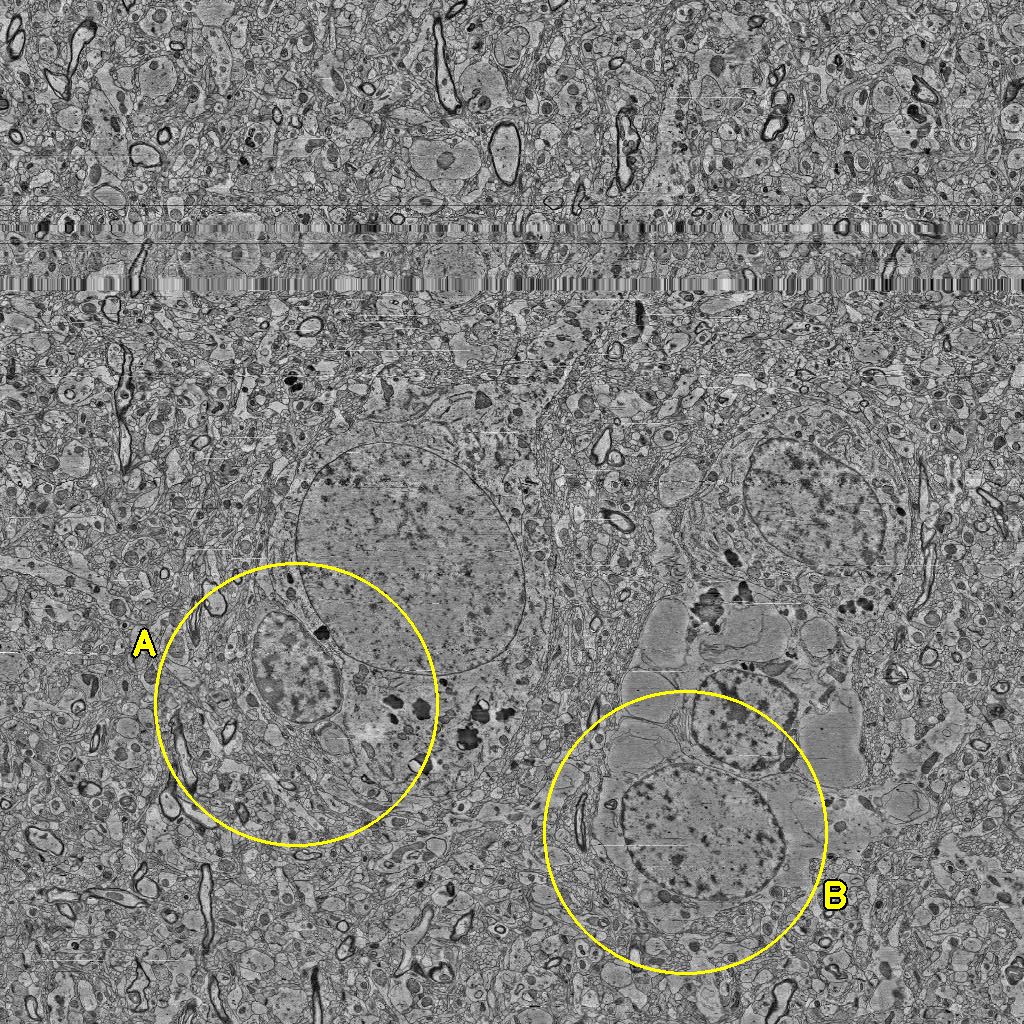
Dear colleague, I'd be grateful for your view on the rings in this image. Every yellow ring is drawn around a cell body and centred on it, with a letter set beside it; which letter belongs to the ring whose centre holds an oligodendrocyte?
A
